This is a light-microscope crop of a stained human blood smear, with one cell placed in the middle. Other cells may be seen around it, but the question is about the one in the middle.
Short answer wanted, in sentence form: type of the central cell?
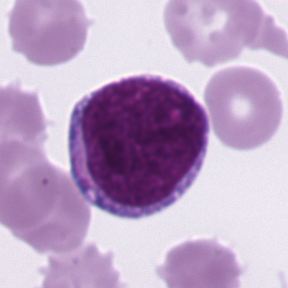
Centred in the crop is a myeloblast.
